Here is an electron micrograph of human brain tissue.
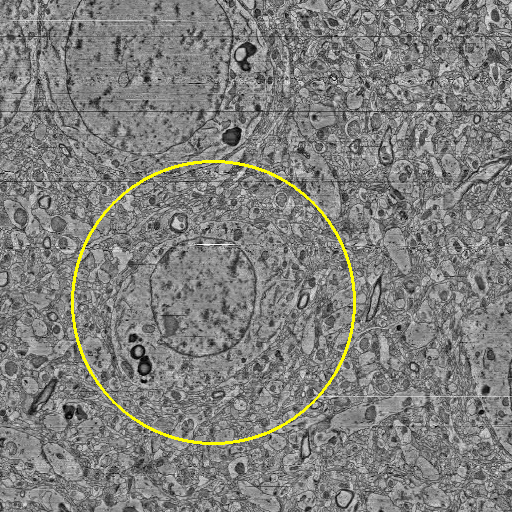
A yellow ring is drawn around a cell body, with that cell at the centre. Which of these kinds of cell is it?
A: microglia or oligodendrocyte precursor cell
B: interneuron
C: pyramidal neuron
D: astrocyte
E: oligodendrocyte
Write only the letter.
C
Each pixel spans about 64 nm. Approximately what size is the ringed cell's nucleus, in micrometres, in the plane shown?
About 8 micrometres across, as seen in this plane.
